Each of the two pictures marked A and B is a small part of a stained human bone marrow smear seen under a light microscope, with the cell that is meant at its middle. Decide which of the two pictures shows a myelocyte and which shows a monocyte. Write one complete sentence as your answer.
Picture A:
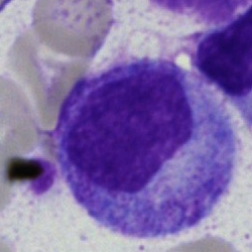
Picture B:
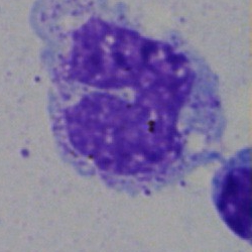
Picture A is of a myelocyte, and picture B is of a monocyte.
